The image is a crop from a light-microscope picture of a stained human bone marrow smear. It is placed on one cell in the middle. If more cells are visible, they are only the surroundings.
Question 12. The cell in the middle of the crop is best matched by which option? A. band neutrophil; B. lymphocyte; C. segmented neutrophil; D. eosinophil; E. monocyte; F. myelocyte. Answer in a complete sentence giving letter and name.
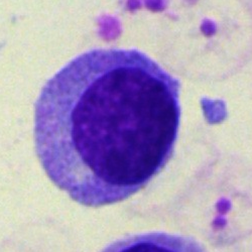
Of the choices given, option F is right, as the central cell is a myelocyte.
